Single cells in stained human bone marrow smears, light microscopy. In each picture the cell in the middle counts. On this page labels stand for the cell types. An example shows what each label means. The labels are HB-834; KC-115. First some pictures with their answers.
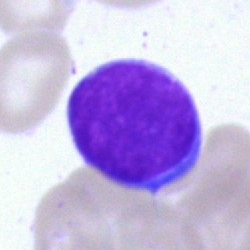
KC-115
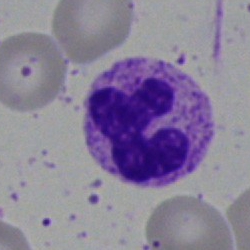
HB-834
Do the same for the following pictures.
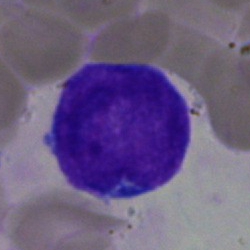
KC-115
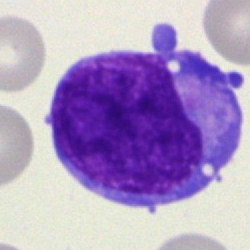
KC-115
